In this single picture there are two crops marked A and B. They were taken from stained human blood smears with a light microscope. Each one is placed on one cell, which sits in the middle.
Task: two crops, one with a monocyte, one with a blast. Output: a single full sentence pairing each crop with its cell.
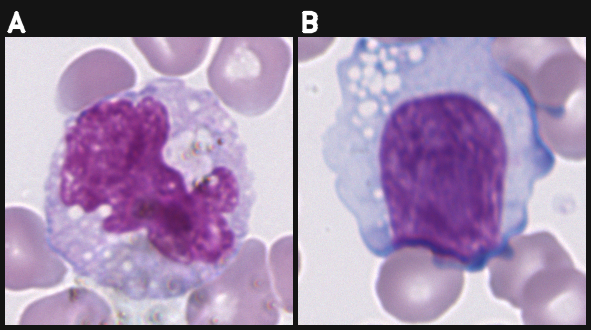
What is seen in crop A is a monocyte; what is seen in crop B is a blast.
